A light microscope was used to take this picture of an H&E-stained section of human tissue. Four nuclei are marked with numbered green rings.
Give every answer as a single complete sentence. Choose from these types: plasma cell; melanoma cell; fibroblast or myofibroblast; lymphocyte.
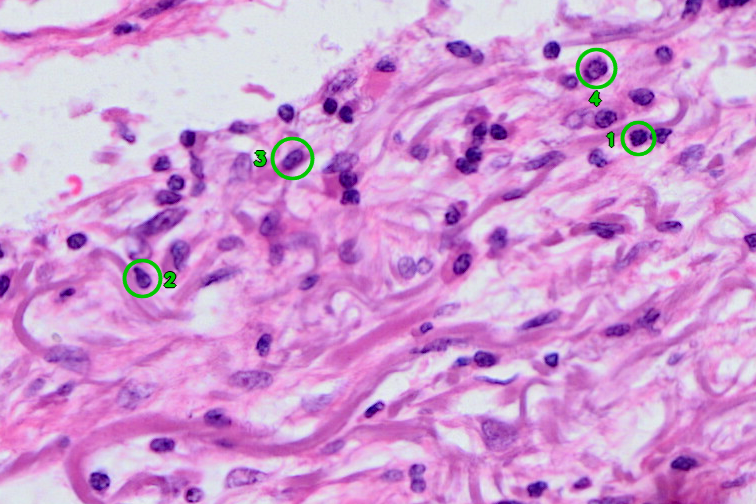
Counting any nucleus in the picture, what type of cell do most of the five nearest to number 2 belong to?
Fibroblasts or myofibroblasts account for more than half of the five nuclei nearest to number 2.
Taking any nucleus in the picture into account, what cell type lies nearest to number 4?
The cell nearest to number 4 is a plasma cell.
